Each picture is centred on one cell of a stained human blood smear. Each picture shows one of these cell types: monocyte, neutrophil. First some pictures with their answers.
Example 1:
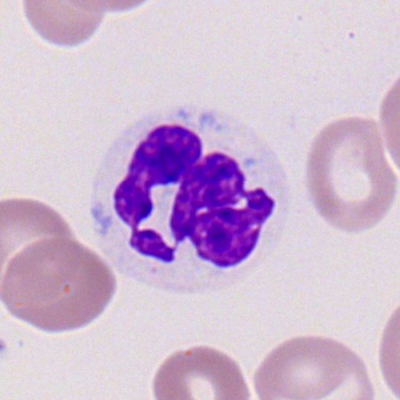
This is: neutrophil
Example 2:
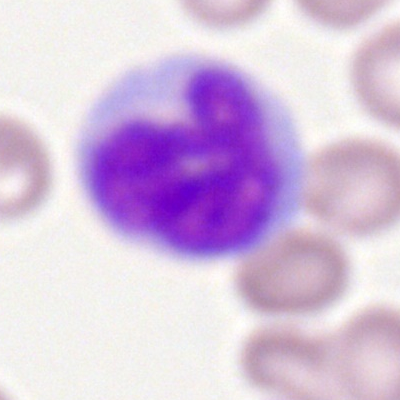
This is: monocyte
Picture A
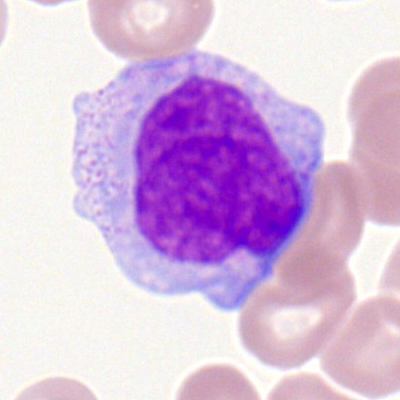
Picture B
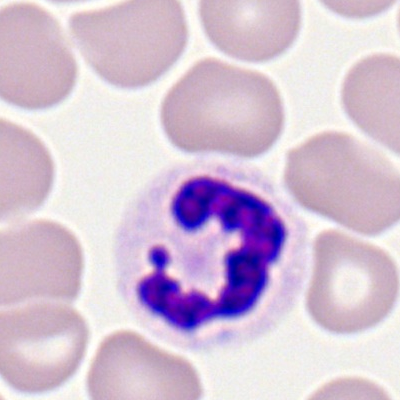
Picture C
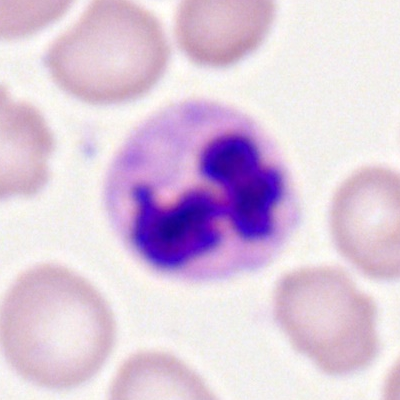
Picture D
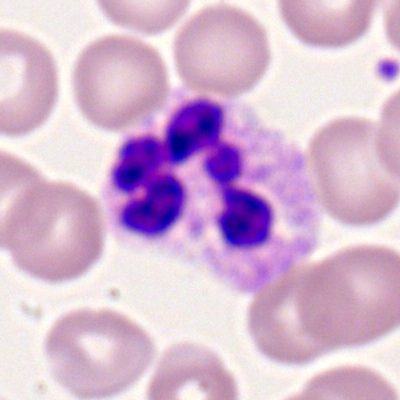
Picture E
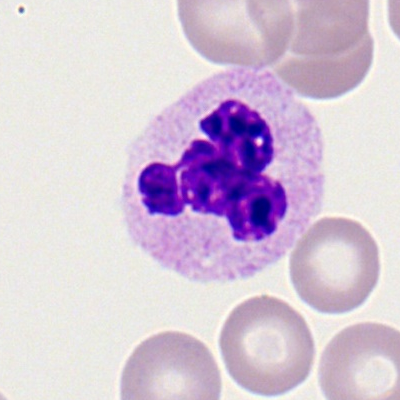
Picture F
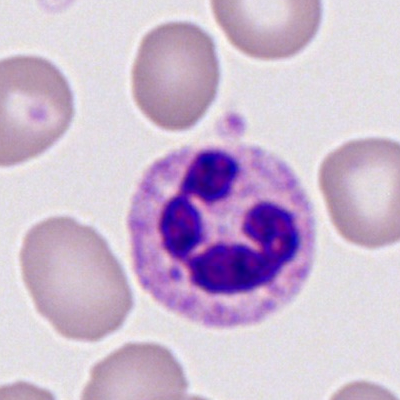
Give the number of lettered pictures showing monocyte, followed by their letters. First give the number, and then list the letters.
1, namely A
